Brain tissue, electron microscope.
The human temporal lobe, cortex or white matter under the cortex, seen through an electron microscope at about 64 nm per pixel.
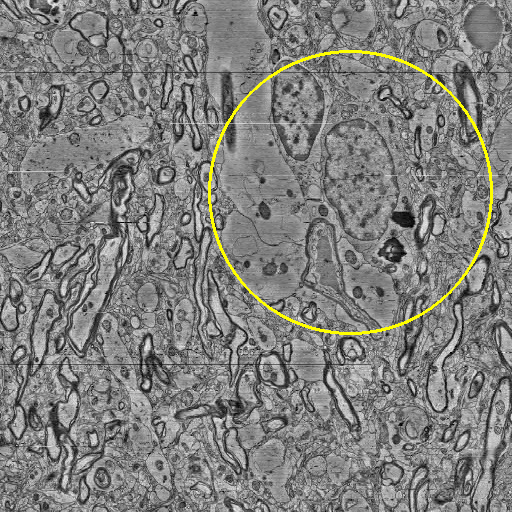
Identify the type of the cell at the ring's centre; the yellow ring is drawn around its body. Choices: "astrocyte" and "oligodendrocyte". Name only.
oligodendrocyte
